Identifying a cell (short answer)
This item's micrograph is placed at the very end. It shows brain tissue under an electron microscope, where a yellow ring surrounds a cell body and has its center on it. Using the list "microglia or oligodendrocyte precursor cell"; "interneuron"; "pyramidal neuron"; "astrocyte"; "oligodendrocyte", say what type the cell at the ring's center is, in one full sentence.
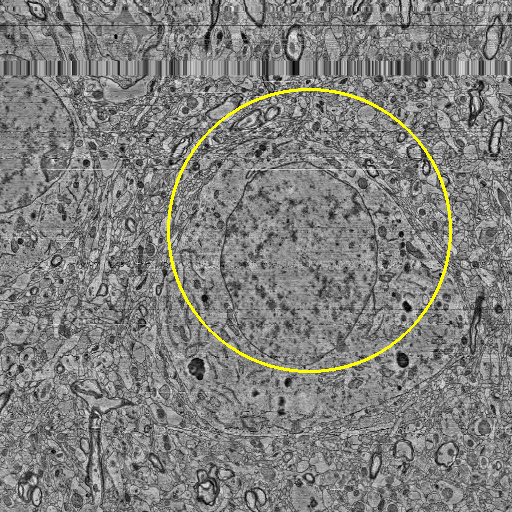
This picture shows a pyramidal neuron at the center of the yellow ring drawn on it.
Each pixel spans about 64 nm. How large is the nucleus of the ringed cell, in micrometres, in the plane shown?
In this plane the nucleus measures roughly 13 by 10 micrometers.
